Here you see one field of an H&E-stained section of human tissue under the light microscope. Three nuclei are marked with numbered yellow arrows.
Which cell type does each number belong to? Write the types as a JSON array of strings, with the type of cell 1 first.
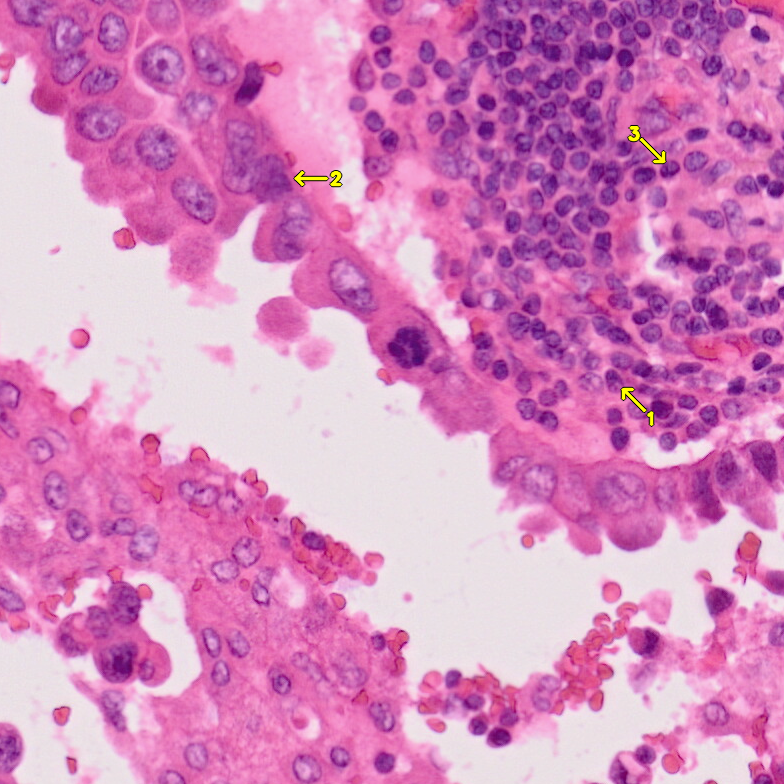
["lymphocyte", "carcinoma cell", "lymphocyte"]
